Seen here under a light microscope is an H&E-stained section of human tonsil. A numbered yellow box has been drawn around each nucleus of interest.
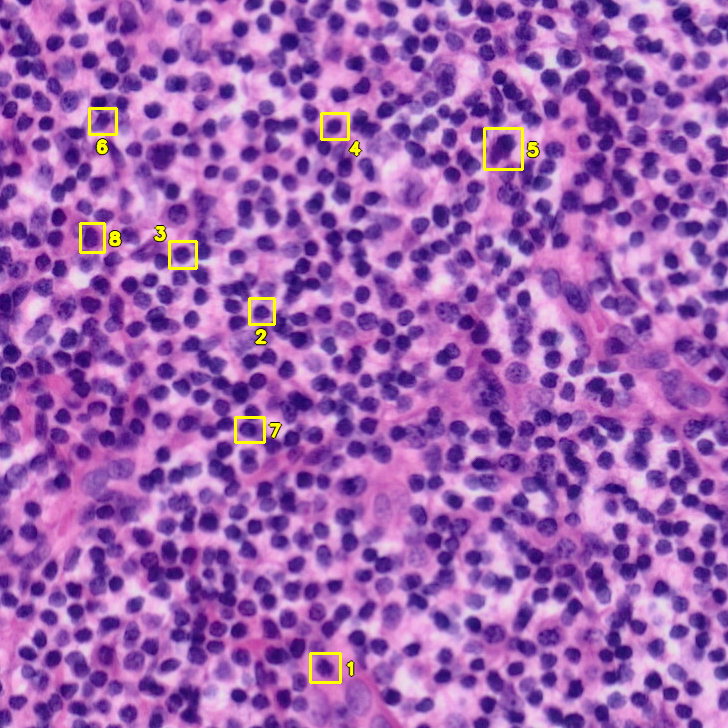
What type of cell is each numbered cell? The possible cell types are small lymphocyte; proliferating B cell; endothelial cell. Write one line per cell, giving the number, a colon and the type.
1: endothelial cell
2: small lymphocyte
3: small lymphocyte
4: small lymphocyte
5: proliferating B cell
6: small lymphocyte
7: small lymphocyte
8: endothelial cell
